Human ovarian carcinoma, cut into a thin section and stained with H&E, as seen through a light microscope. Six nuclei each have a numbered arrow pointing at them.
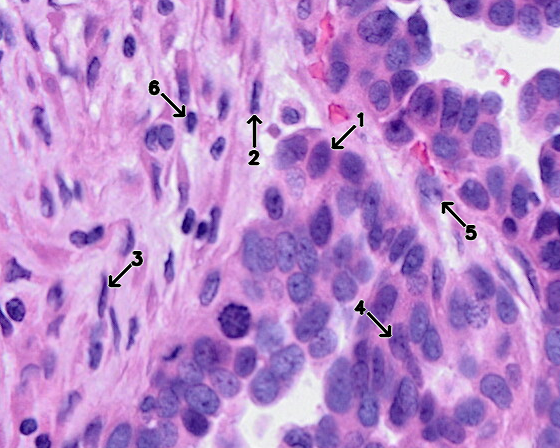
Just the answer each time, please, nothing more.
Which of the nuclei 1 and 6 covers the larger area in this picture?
1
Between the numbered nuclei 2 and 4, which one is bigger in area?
4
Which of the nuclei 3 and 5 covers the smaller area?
3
